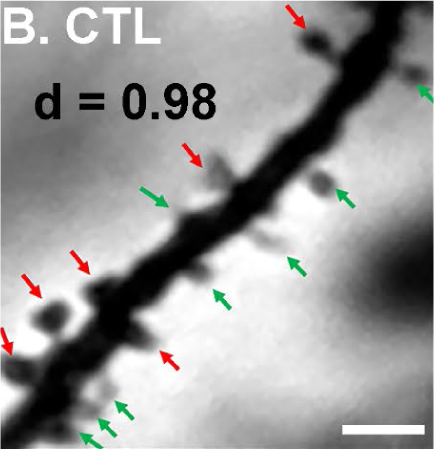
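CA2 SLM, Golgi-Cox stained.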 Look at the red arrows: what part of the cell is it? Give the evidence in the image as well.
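The red arrows point to protrusions with bulbous, rounded heads. These protrusions sit on the side of the dark dendritic shaft. On this evidence: mature spine.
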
